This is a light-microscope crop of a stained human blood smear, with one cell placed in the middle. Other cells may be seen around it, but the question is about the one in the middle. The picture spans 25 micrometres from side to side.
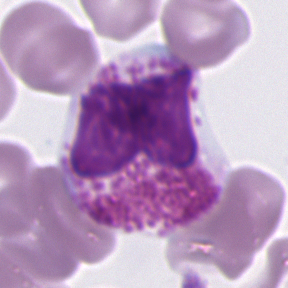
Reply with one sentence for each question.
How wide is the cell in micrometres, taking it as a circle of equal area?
The cell is about 14 micrometres across.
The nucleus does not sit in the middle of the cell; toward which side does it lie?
The nucleus sits off-centre, toward the top.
